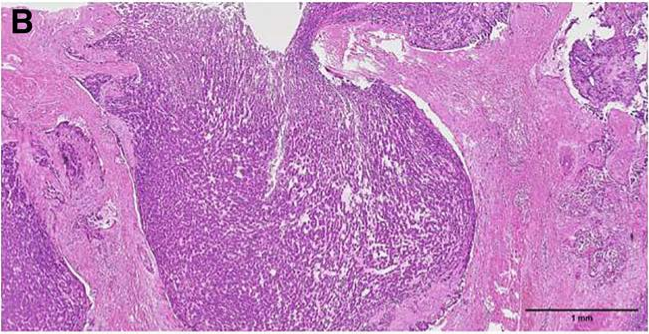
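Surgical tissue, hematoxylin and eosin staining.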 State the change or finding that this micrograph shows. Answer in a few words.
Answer: Tumor tissue invading the capsule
